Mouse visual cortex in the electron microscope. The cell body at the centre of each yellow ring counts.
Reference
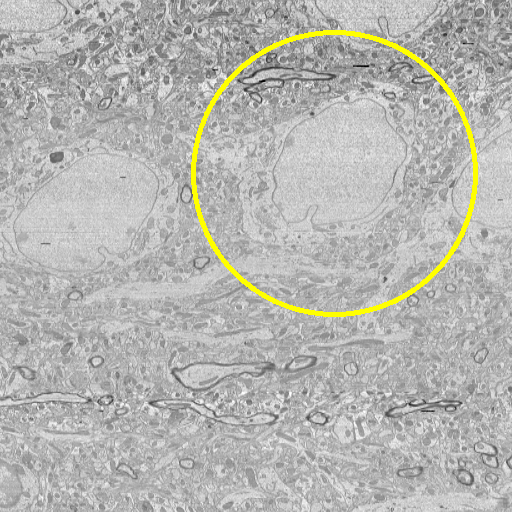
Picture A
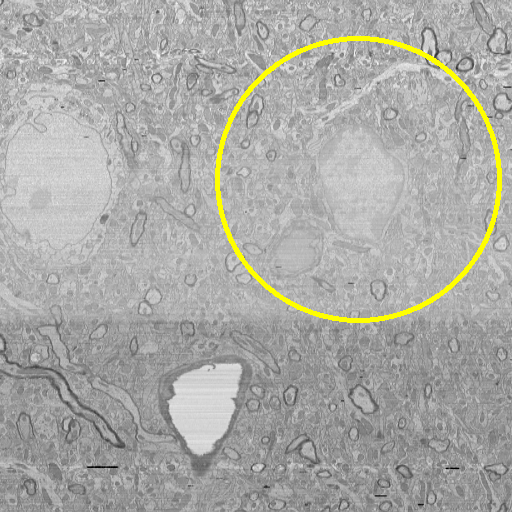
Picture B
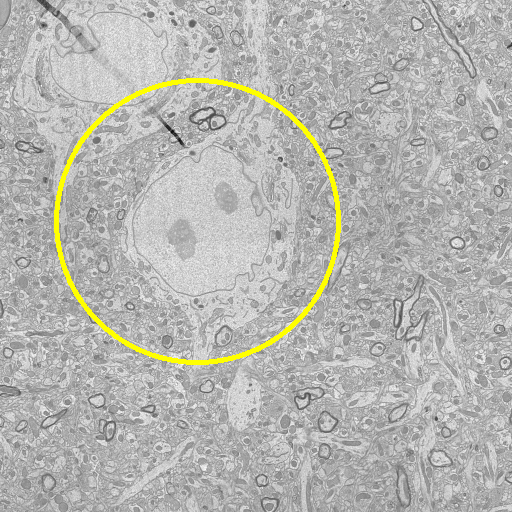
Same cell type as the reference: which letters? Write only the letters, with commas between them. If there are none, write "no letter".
B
